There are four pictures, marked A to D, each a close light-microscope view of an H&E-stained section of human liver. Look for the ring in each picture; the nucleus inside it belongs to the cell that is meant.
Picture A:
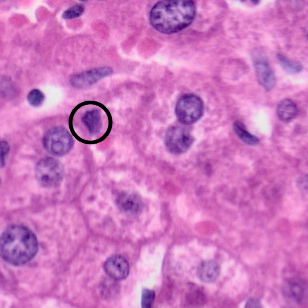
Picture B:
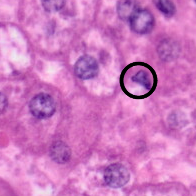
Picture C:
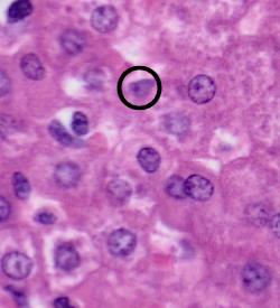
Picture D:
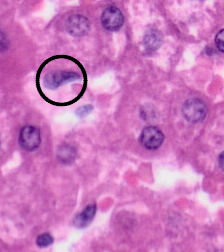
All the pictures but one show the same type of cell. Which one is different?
A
